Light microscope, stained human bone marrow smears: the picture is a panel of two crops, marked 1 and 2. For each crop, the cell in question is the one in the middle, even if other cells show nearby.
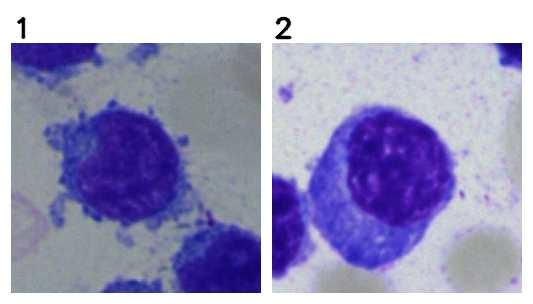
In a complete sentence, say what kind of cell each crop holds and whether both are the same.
No, a lymphocyte is the subject of crop 1, and a plasma cell is the subject of crop 2.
